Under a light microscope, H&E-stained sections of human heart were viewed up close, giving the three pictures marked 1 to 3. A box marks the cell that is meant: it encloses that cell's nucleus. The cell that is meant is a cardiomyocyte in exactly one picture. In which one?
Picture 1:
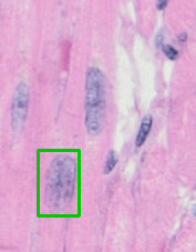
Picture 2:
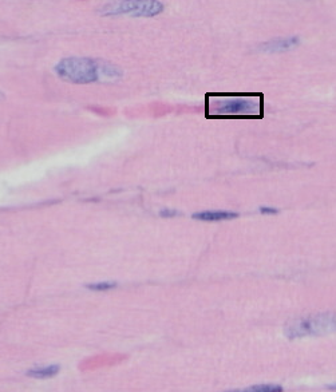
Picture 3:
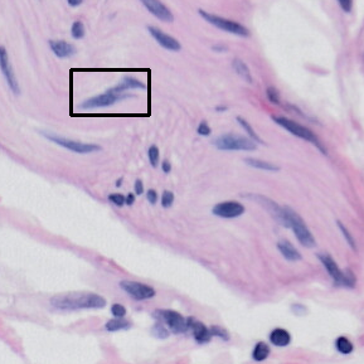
1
